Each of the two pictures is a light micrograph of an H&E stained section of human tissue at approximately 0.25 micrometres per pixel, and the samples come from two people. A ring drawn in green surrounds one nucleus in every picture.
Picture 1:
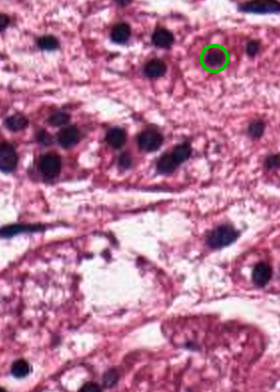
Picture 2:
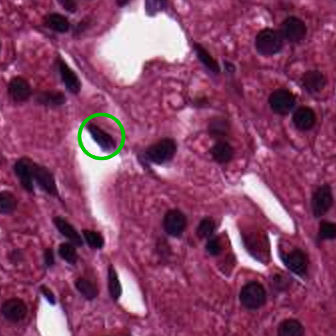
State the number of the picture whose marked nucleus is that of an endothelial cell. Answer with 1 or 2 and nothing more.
2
